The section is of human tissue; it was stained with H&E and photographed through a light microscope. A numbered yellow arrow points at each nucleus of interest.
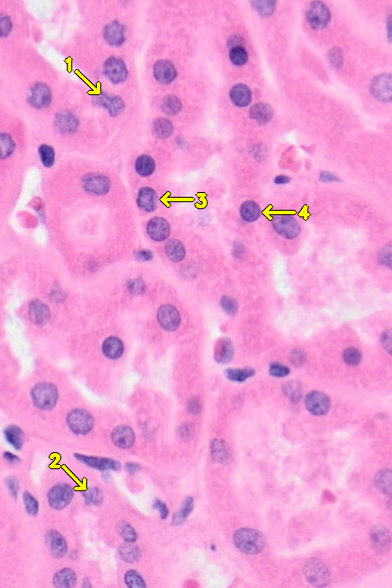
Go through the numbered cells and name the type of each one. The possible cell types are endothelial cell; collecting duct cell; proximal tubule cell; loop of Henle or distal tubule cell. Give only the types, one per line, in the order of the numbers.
proximal tubule cell
collecting duct cell
proximal tubule cell
proximal tubule cell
